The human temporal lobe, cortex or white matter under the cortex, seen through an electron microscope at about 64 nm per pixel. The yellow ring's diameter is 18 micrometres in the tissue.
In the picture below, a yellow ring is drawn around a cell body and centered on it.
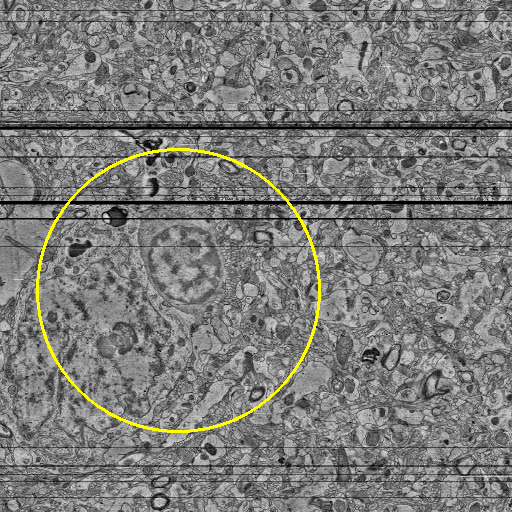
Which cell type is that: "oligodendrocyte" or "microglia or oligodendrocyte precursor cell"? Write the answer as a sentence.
The cell centered in the ring is an oligodendrocyte.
